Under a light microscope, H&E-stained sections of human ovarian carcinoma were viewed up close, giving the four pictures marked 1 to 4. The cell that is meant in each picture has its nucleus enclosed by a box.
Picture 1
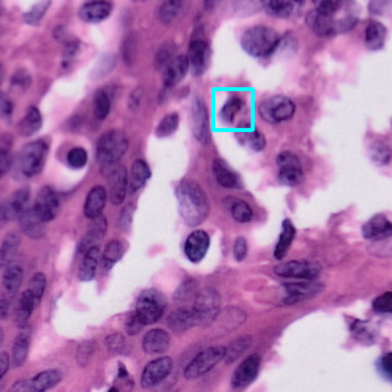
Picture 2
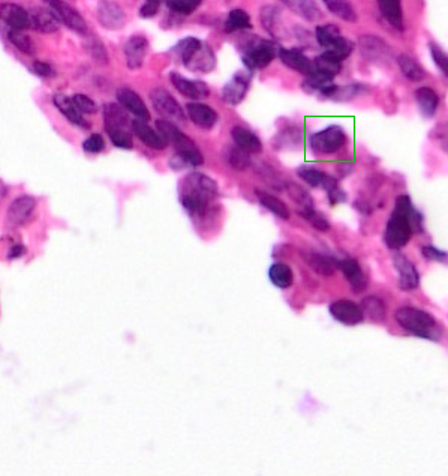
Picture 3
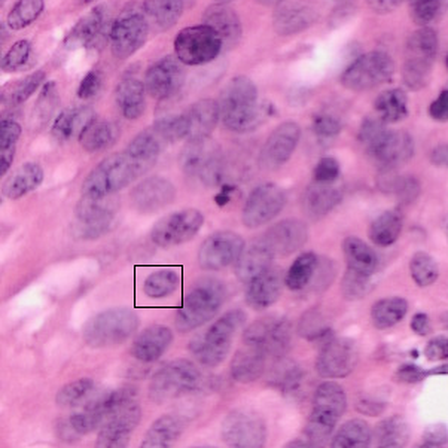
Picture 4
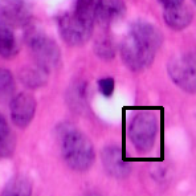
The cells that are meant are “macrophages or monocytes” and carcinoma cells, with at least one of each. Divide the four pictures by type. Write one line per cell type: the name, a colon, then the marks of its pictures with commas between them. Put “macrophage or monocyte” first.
macrophage or monocyte: 1, 3
carcinoma cell: 2, 4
